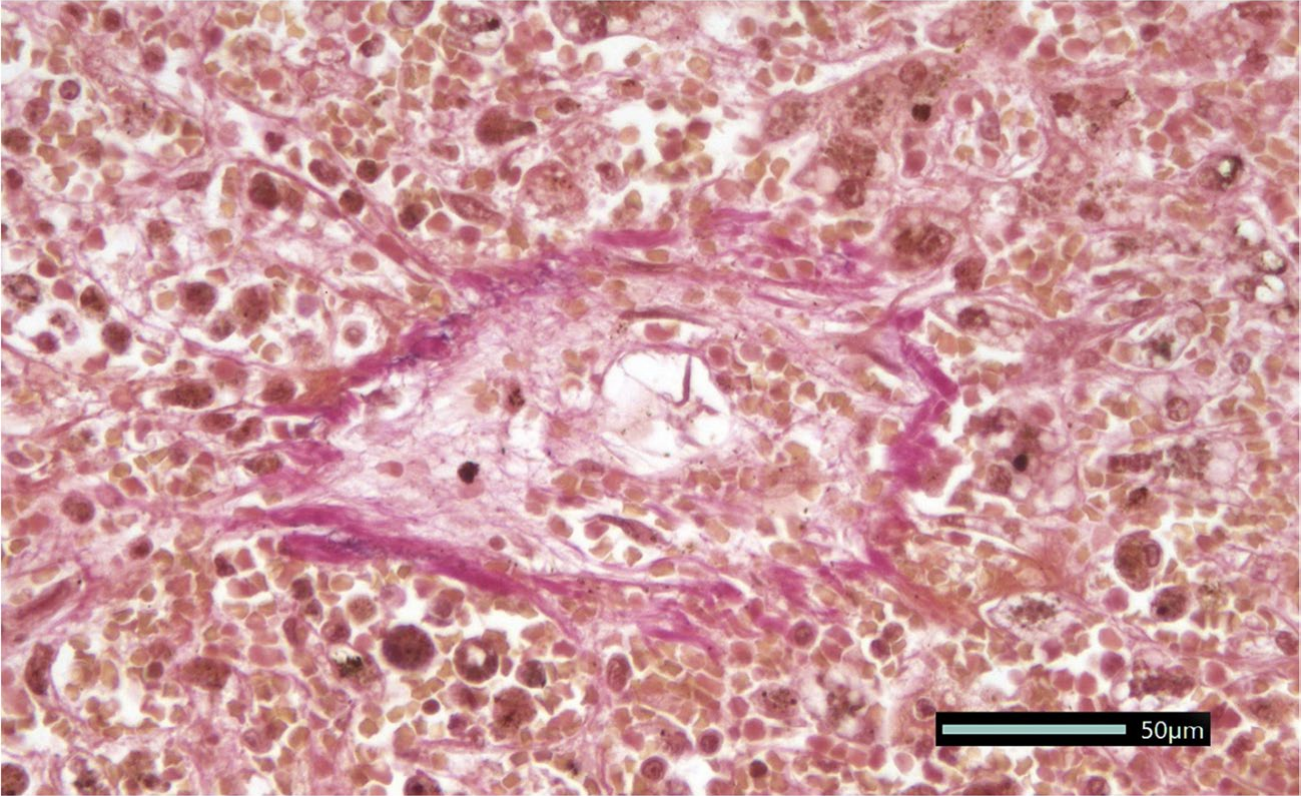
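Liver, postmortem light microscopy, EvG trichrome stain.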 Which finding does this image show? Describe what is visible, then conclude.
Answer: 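Innumerable small round orange-brown cells without nuclei fill the field. These cells are packed between the larger nucleated liver cells and also lie within the central area.
Hence: accumulation of red blood cells.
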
